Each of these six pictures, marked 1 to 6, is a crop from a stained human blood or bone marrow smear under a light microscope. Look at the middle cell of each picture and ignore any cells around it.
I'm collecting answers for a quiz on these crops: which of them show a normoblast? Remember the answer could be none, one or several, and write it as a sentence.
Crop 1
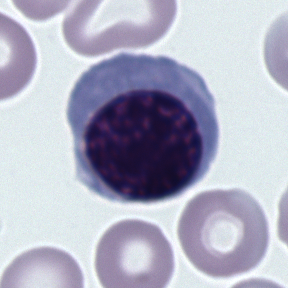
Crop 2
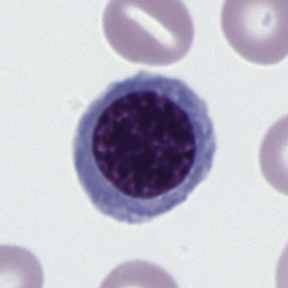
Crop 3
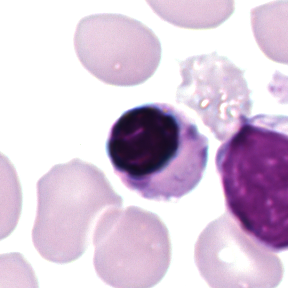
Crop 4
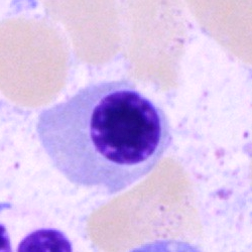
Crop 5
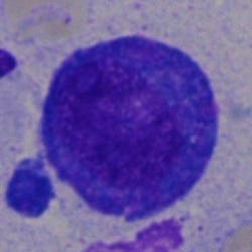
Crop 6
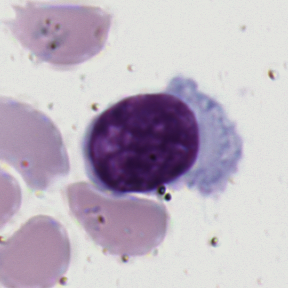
In this series, normoblasts are shown by crops 1, 2, 3 and 4.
